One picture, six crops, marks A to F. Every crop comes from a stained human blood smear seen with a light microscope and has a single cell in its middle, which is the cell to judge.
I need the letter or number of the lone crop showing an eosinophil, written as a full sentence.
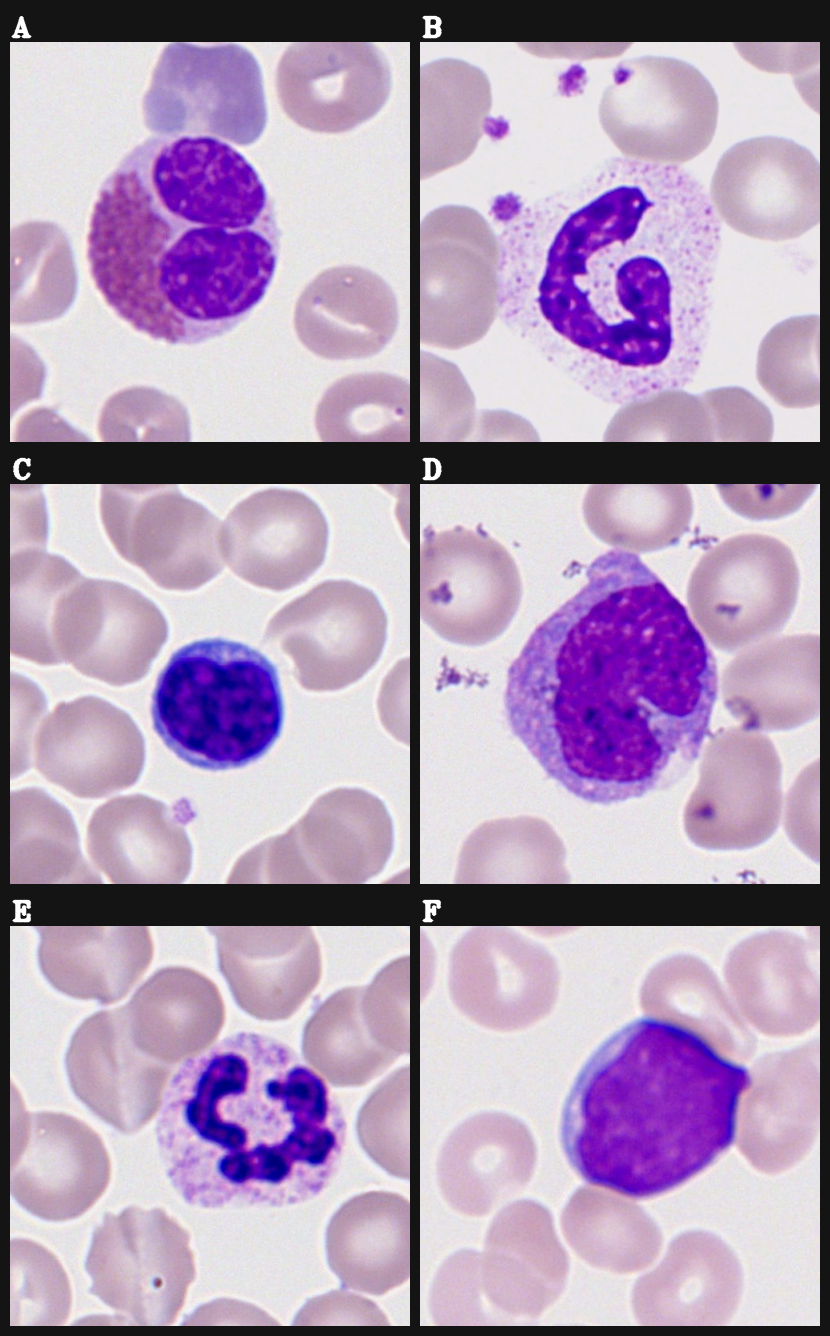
Of the labeled crops, the one with an eosinophil is crop A.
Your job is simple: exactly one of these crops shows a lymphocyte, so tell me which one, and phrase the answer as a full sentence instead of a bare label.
The crop that shows a lymphocyte is crop C.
